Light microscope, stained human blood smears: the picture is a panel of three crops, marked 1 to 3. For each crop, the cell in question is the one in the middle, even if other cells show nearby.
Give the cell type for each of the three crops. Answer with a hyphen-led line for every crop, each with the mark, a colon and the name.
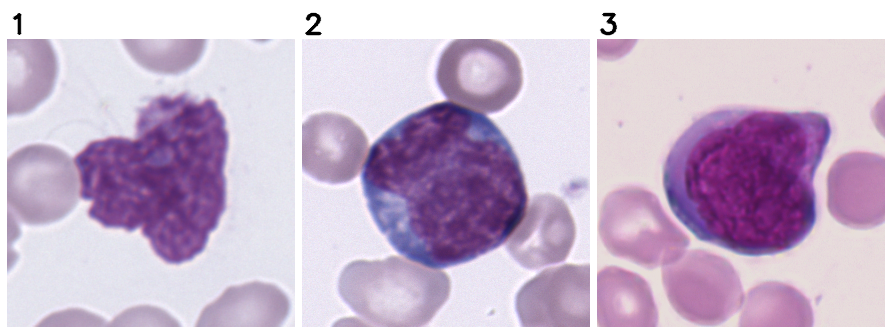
- 1: smudge cell
- 2: myeloblast
- 3: atypical promyelocyte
